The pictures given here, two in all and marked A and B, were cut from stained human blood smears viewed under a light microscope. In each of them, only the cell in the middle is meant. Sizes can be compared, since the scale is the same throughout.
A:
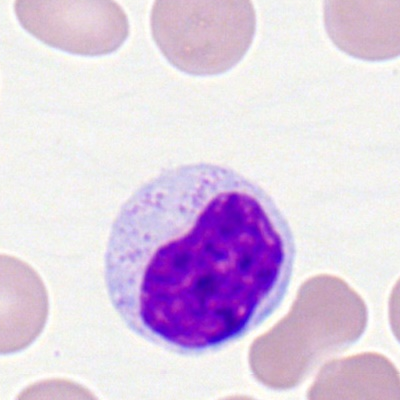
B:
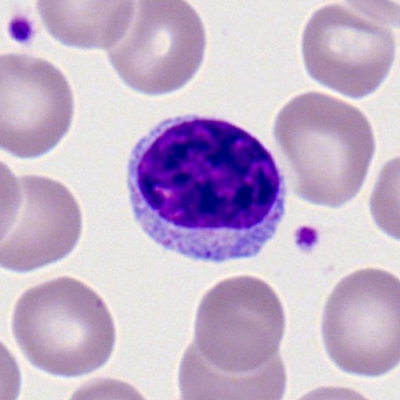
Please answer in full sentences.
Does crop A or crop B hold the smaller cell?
Crop B holds the smaller cell, since the cell in crop A covers about 1.5 times as much area.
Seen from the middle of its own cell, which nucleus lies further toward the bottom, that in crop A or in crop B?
Seen within its cell, the nucleus in crop A lies further toward the bottom.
